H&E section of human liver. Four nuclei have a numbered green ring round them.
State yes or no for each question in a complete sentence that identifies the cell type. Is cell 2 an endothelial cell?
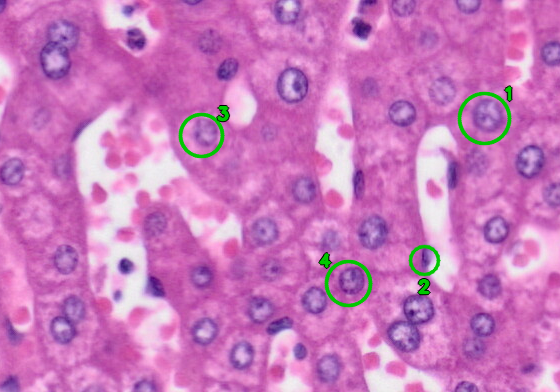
Yes, to put it simply, cell number 2 is an endothelial cell.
